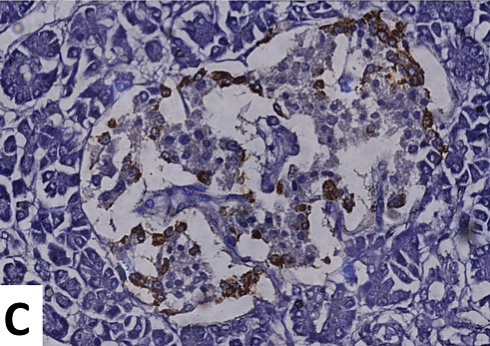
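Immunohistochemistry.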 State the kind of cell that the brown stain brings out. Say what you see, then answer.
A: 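Only a minority of cells in the rounded cluster are brown. The brown cells lie mostly along the edge of the cluster. Most cells in the cluster show blue nuclei with unstained cytoplasm. That points to this answer: alpha cells.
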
